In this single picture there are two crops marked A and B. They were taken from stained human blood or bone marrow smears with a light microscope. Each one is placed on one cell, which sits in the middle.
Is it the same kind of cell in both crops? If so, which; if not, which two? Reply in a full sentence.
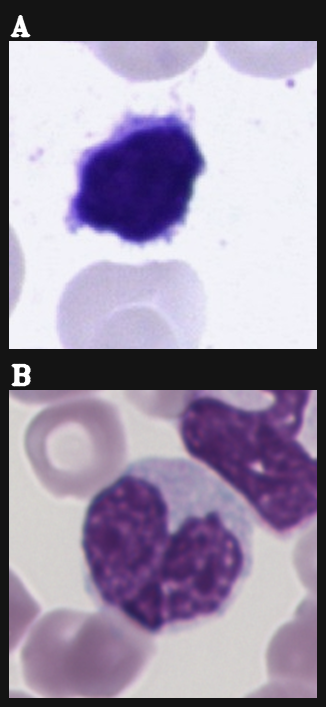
No, crop A contains a lymphocyte; a monocyte is what crop B contains.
